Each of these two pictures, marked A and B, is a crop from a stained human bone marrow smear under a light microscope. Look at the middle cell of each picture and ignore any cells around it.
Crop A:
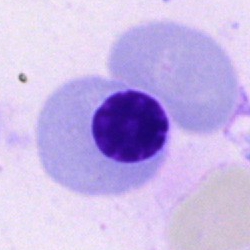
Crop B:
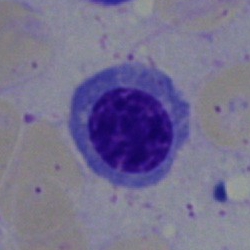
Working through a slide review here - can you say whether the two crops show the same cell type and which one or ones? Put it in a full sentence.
Yes, the two central cells, one per crop, are erythroblasts.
